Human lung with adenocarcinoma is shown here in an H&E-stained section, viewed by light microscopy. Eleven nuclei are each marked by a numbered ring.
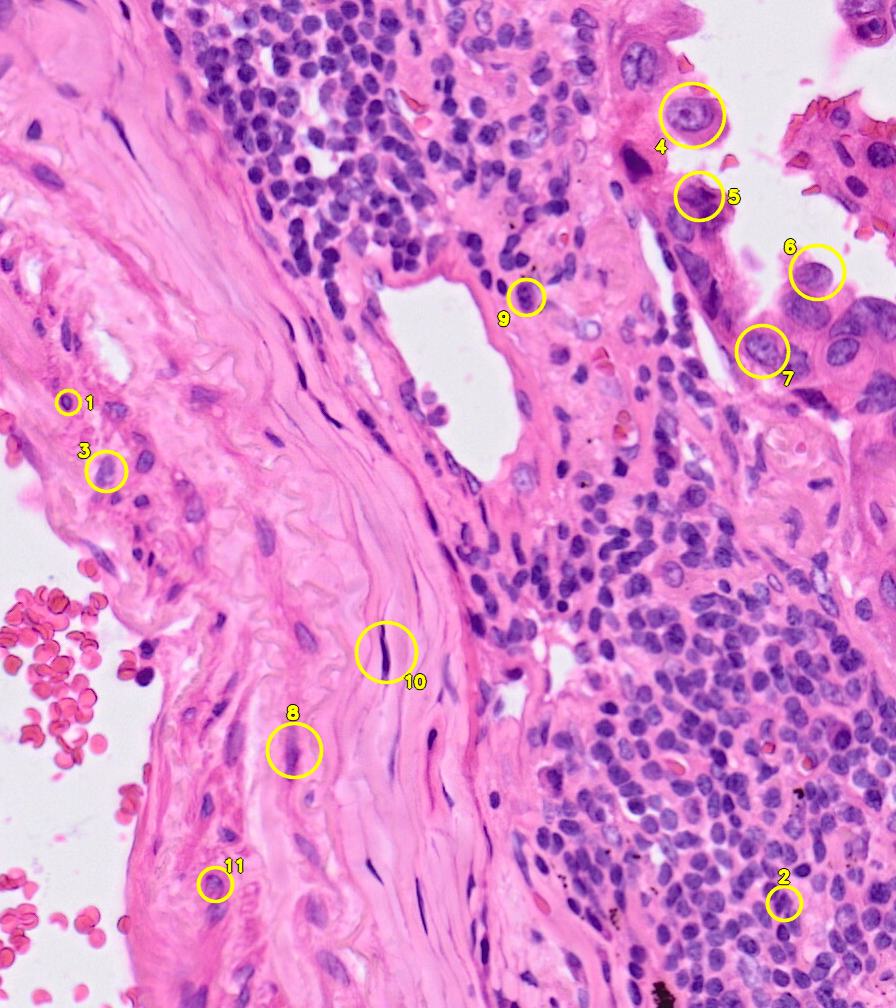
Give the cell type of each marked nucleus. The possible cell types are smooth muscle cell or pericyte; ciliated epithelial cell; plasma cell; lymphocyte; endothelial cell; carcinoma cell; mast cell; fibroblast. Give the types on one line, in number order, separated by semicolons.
smooth muscle cell or pericyte; lymphocyte; smooth muscle cell or pericyte; carcinoma cell; carcinoma cell; carcinoma cell; carcinoma cell; smooth muscle cell or pericyte; plasma cell; fibroblast; smooth muscle cell or pericyte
